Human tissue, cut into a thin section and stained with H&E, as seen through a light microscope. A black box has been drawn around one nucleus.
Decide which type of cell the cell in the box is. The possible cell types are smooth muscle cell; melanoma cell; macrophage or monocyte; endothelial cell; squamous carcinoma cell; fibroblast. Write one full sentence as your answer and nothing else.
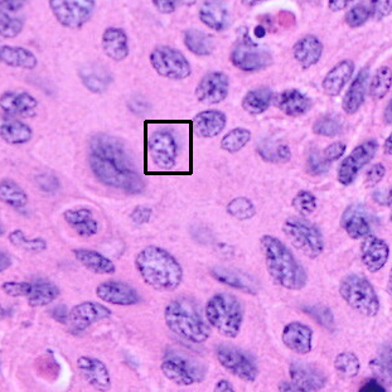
The classification of the cell in the box is as a squamous carcinoma cell.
